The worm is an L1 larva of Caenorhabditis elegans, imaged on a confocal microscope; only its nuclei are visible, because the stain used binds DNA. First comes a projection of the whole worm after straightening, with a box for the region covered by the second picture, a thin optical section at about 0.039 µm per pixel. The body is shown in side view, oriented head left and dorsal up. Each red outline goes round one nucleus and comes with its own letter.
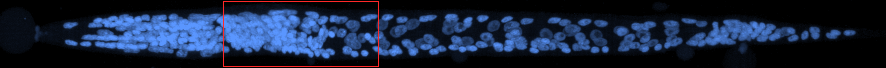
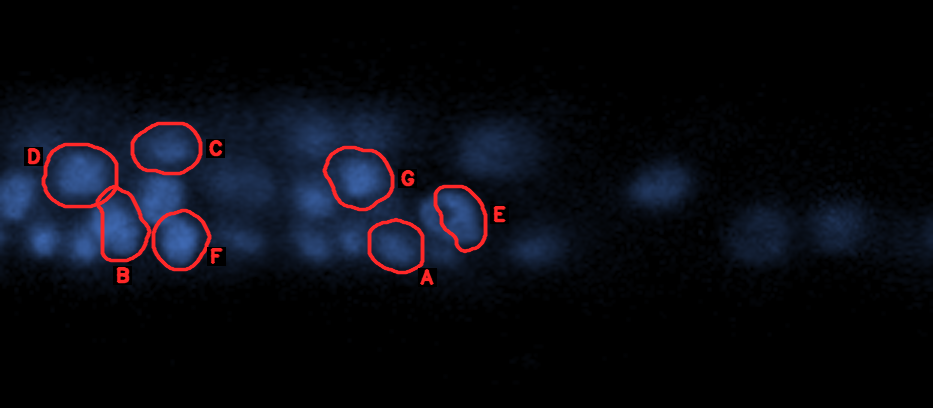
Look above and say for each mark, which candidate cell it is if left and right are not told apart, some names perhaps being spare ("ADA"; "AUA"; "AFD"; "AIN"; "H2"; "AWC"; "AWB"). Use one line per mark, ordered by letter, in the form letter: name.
A: ADA
B: AWC
C: AWB
D: AFD
E: H2
F: AUA
G: AIN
